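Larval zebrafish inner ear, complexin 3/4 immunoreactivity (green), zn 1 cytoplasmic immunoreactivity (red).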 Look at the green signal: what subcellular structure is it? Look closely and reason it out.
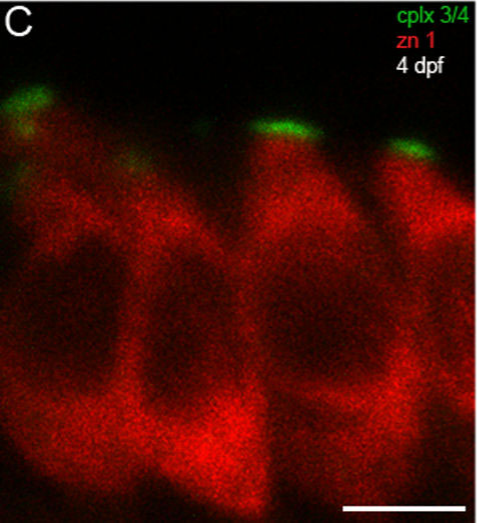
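Thin green caps sit on the top ends of the red cells. The green lies only at the upper edge facing the dark space above. The answer: apical surfaces.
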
